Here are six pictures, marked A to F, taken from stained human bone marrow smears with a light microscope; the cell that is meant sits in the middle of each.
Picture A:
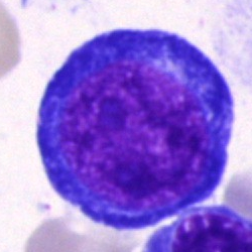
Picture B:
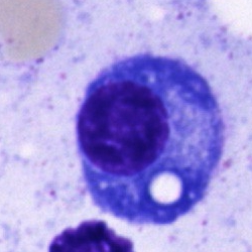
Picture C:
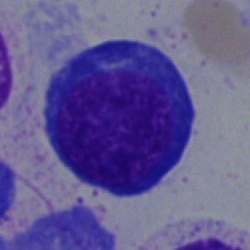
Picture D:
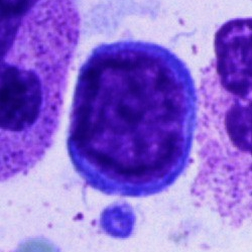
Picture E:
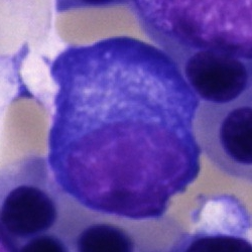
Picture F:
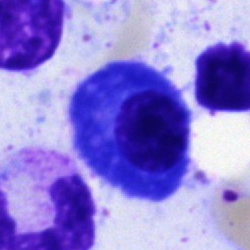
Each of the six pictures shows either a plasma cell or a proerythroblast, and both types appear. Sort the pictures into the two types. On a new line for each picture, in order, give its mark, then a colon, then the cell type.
A: proerythroblast
B: plasma cell
C: proerythroblast
D: proerythroblast
E: plasma cell
F: plasma cell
